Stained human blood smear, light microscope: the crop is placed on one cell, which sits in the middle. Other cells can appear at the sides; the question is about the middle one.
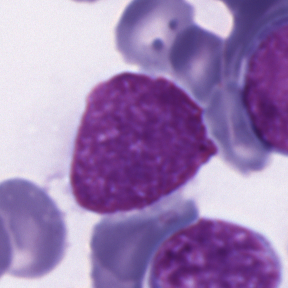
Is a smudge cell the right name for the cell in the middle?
no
